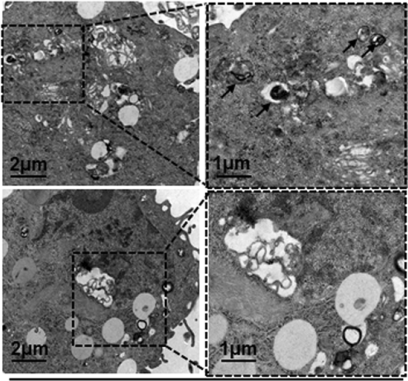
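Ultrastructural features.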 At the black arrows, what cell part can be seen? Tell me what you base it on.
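The arrows point to small round membrane-bound vesicles in the cytoplasm. The marked vesicles enclose dark, dense material. On this evidence: autophagosomes.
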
